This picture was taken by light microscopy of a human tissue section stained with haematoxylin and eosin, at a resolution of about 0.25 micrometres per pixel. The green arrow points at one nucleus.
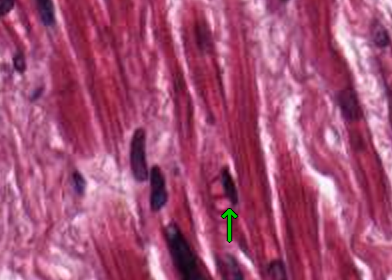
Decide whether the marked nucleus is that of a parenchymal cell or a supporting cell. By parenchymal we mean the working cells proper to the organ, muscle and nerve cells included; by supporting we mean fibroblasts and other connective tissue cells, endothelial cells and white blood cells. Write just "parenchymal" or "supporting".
supporting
